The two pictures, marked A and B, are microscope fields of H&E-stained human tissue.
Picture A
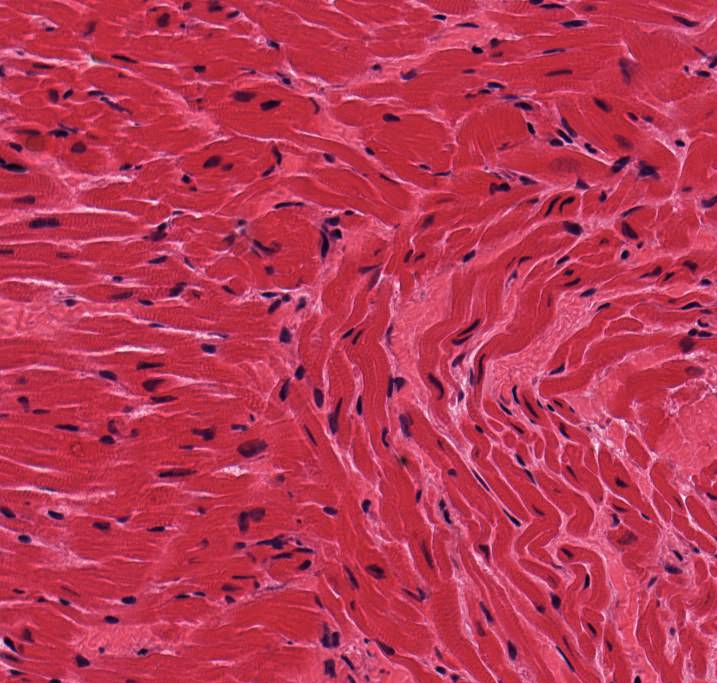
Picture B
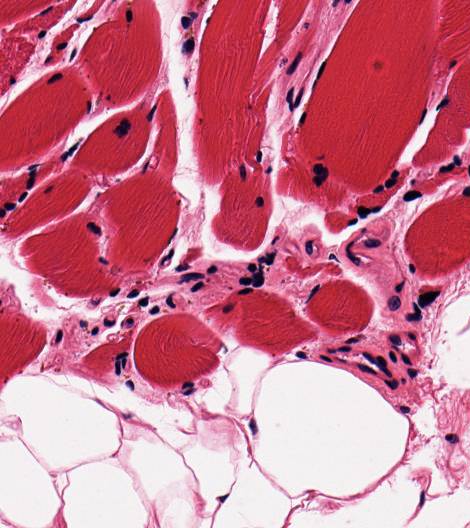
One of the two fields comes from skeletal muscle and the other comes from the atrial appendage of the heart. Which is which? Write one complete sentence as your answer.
Picture A comes from the atrial appendage of the heart; picture B comes from skeletal muscle.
